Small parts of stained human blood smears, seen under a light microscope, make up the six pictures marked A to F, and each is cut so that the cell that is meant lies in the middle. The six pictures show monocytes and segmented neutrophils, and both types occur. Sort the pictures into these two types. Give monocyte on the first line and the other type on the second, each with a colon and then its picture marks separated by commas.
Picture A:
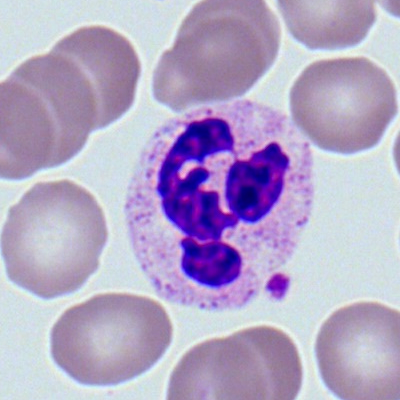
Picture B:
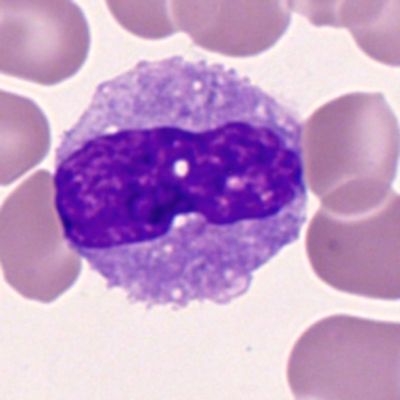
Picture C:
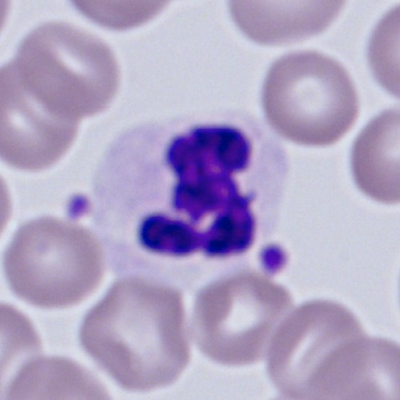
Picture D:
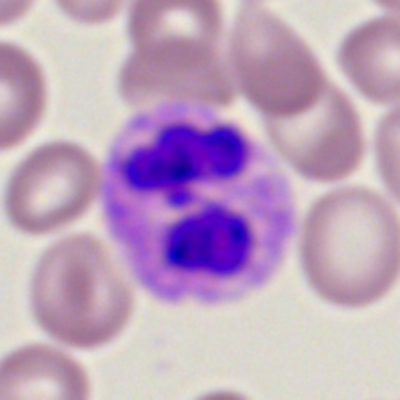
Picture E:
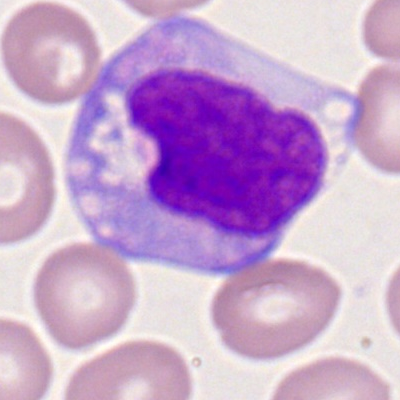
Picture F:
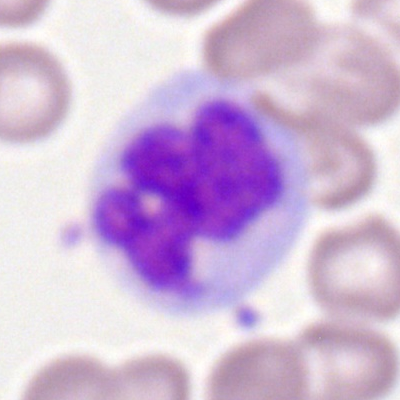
monocyte: B, E, F
segmented neutrophil: A, C, D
